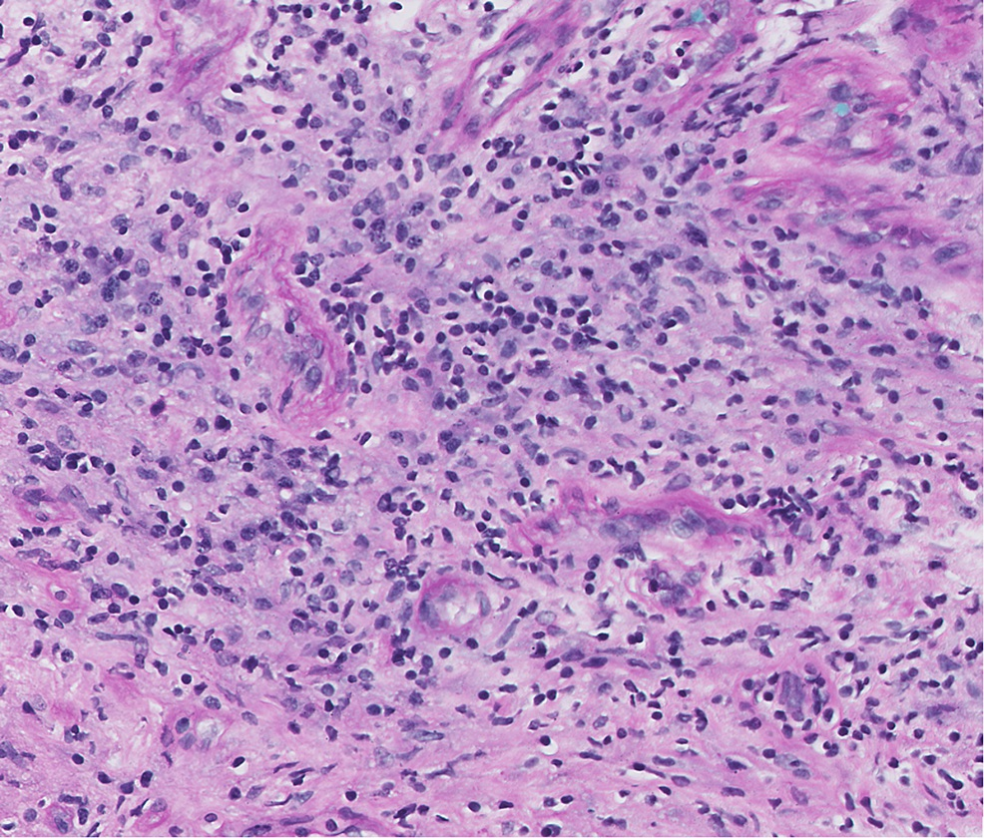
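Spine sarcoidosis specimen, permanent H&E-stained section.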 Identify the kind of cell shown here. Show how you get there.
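Many small cells with small, round, dark-purple nuclei and little cytoplasm. These small dark nuclei are densely scattered across the whole field.
Conclusion: lymphocytes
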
